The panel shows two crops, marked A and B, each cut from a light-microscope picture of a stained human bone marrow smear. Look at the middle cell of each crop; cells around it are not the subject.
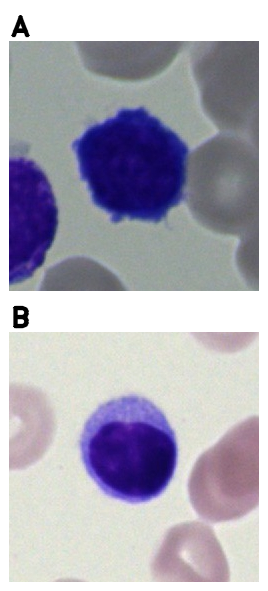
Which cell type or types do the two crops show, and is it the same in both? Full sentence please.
Yes, both crops here show lymphocytes, the pair of them.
